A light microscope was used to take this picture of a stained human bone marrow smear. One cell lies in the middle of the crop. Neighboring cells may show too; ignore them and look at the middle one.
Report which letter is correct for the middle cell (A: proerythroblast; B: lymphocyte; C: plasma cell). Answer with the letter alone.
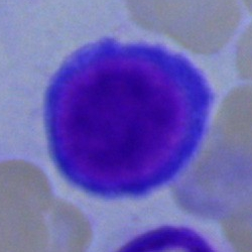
A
